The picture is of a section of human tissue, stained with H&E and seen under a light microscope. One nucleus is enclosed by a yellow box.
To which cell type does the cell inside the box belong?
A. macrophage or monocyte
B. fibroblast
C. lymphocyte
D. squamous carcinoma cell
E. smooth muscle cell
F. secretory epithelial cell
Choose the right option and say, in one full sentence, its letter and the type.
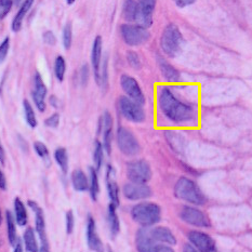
The correct choice is option F; the cell inside the box is a secretory epithelial cell.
